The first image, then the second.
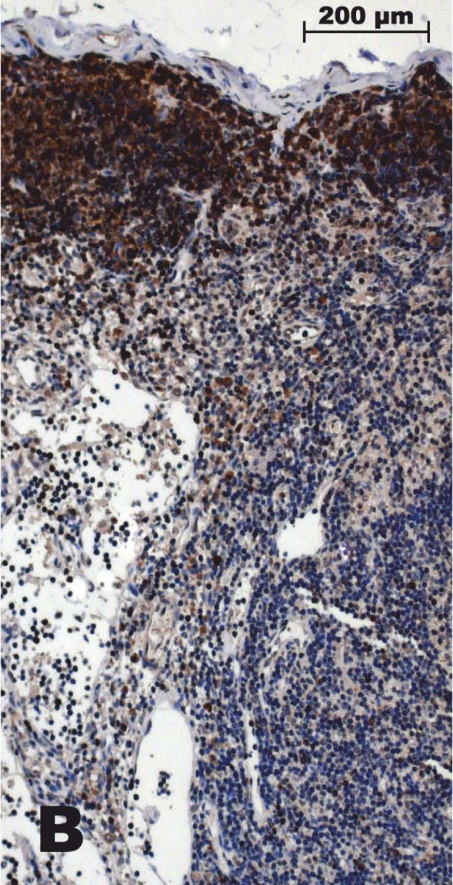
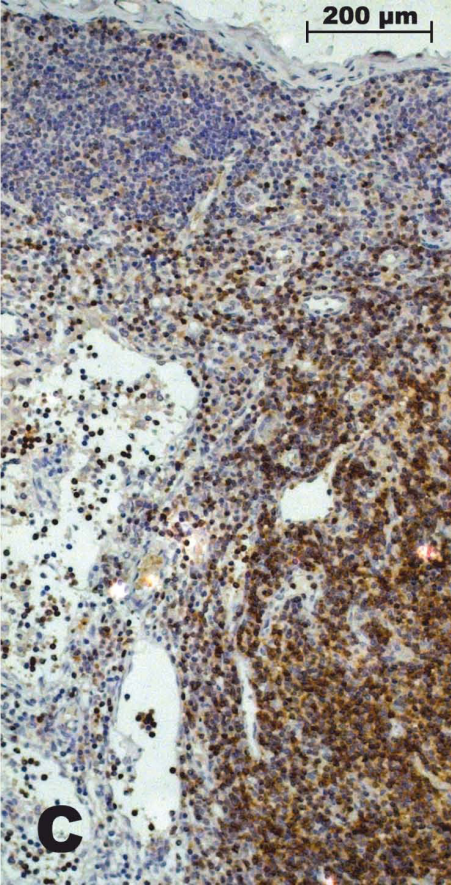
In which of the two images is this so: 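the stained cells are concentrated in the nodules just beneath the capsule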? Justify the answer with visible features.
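Second image: the subcapsular nodules are blue, brown cells lie deeper. First image: the subcapsular nodules are intensely brown, deeper tissue mostly blue. The answer: the first image.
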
